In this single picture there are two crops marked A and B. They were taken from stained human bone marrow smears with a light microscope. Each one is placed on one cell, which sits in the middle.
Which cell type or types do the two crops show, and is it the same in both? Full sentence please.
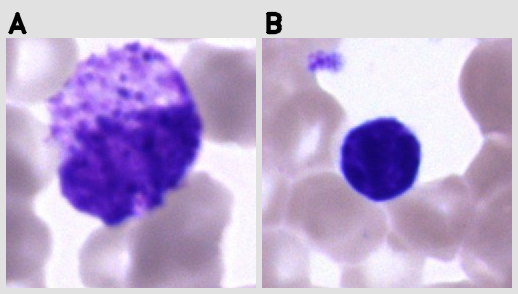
No, crop A carries a basophil at its centre, and crop B carries a lymphocyte.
